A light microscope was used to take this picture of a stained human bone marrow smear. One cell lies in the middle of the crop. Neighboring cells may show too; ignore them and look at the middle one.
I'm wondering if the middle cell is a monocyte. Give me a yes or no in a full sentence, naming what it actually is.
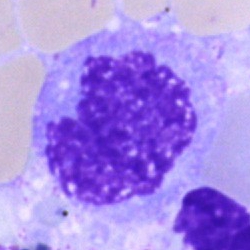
Yes, that middle cell in the crop is a monocyte.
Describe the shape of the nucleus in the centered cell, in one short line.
Two or more lobes make up the nucleus of this cell.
